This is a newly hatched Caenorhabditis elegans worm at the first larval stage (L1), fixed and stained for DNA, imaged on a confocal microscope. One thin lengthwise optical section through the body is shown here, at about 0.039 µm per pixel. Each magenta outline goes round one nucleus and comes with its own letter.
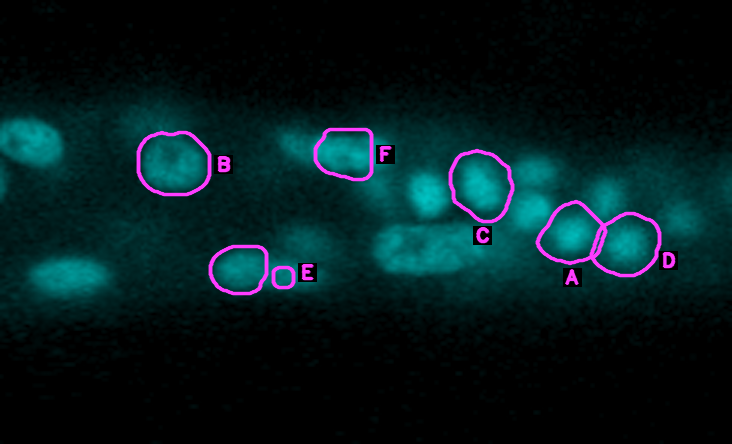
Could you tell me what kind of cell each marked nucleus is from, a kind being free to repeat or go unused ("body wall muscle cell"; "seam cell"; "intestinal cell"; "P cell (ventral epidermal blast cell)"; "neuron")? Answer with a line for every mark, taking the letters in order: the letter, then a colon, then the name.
A: neuron
B: seam cell
C: neuron
D: neuron
E: body wall muscle cell
F: P cell (ventral epidermal blast cell)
